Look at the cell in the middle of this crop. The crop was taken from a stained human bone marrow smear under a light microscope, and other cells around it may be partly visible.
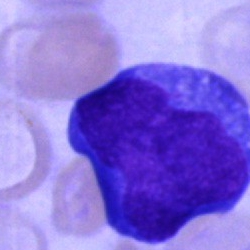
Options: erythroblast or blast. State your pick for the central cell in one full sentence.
In the central position of this crop, the cell is a blast.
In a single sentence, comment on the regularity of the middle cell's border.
Along its border, the cell is uneven, whether by ragged stretches or by projections.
